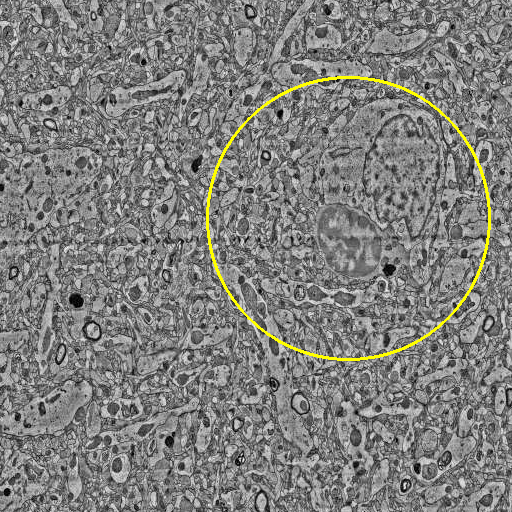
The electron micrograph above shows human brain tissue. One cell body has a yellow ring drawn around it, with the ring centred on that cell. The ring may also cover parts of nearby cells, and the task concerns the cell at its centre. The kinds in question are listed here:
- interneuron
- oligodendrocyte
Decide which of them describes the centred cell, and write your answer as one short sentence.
The centred cell is an oligodendrocyte.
